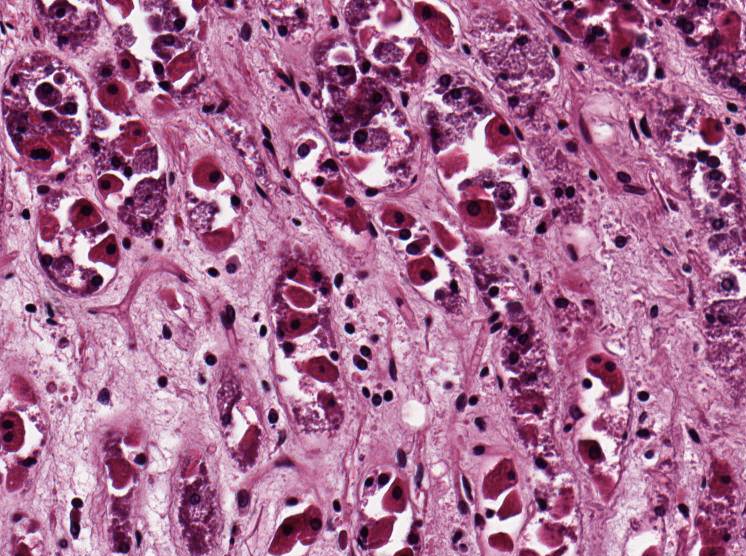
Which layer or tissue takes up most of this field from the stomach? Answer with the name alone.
fundic glands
